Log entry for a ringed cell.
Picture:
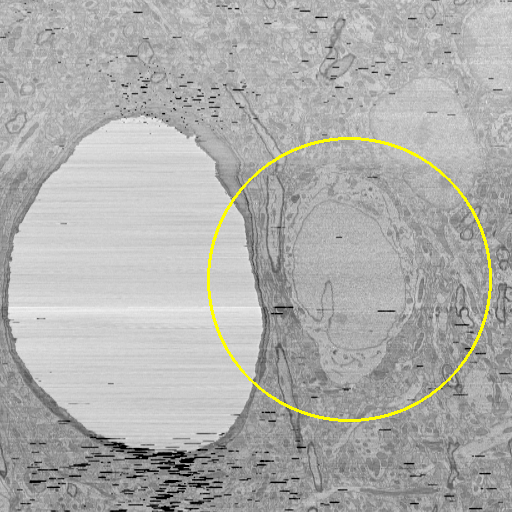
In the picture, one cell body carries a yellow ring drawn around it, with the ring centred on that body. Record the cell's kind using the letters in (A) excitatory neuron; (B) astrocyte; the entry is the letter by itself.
A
